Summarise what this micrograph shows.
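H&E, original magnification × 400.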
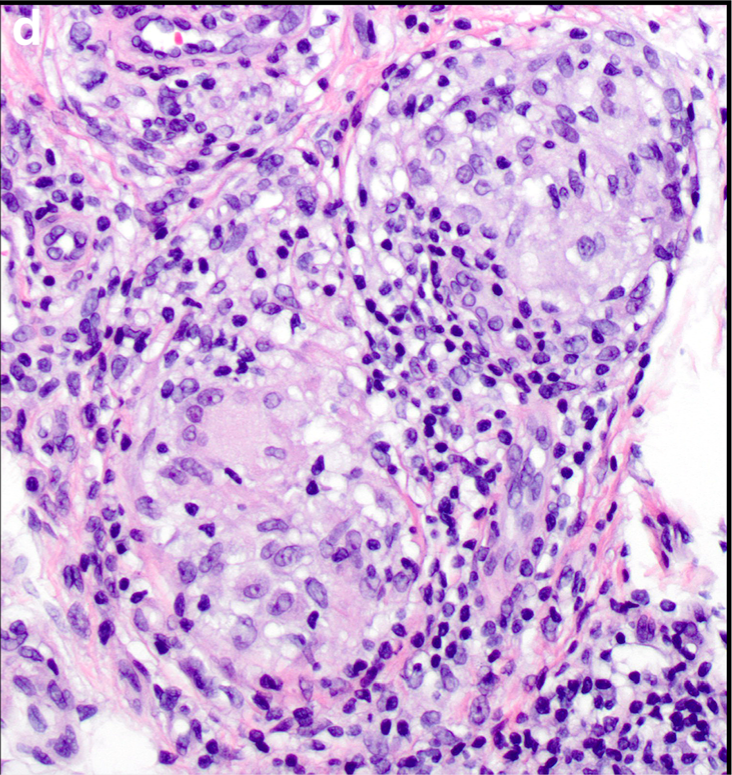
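Non-caseating granulomata are formed by rounded, tightly packed collections of epithelioid histiocytes with abundant pale pink cytoplasm, indistinct cell borders and oval to kidney-shaped pale vesicular nuclei. Around and between these collections lie many lymphocytes with small, round, dense dark-purple nuclei. No necrotic debris is present in the centres of the granulomata.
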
